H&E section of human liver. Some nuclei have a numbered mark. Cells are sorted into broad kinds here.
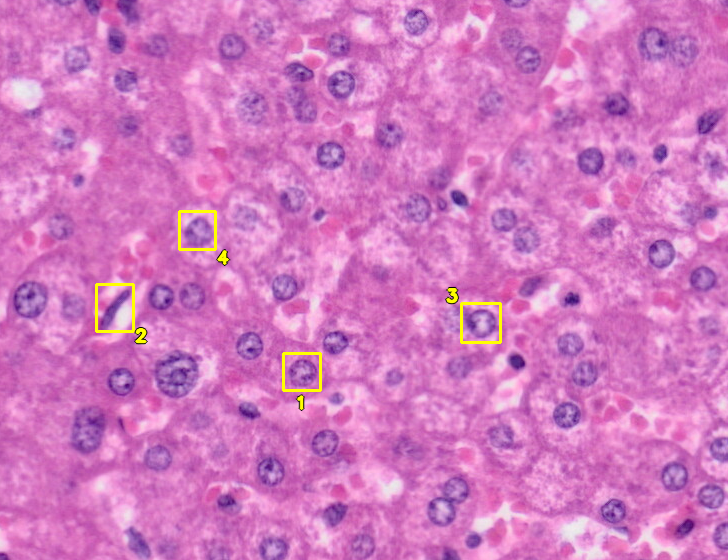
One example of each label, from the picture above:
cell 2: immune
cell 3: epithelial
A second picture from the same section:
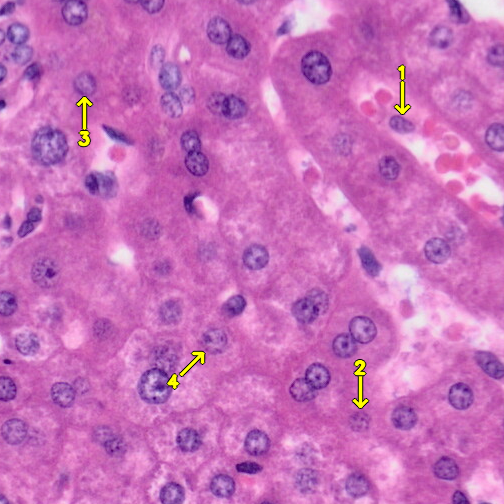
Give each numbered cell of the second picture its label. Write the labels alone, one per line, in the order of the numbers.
immune
epithelial
epithelial
epithelial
